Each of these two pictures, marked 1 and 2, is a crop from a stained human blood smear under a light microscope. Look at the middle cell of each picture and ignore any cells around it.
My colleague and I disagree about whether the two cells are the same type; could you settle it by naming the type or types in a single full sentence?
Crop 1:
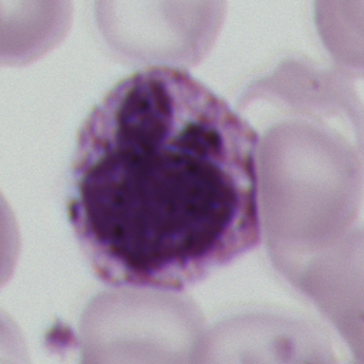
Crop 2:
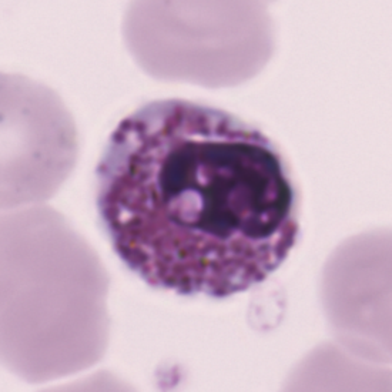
No, what crop 1 shows is a basophil, and what crop 2 shows is an eosinophil.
